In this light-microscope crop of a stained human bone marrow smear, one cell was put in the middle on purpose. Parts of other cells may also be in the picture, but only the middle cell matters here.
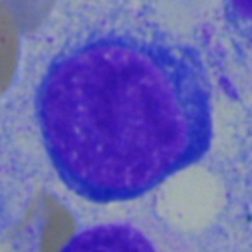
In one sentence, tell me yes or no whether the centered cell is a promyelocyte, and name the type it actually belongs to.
No; rather than a promyelocyte, the cell at the center is a proerythroblast.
